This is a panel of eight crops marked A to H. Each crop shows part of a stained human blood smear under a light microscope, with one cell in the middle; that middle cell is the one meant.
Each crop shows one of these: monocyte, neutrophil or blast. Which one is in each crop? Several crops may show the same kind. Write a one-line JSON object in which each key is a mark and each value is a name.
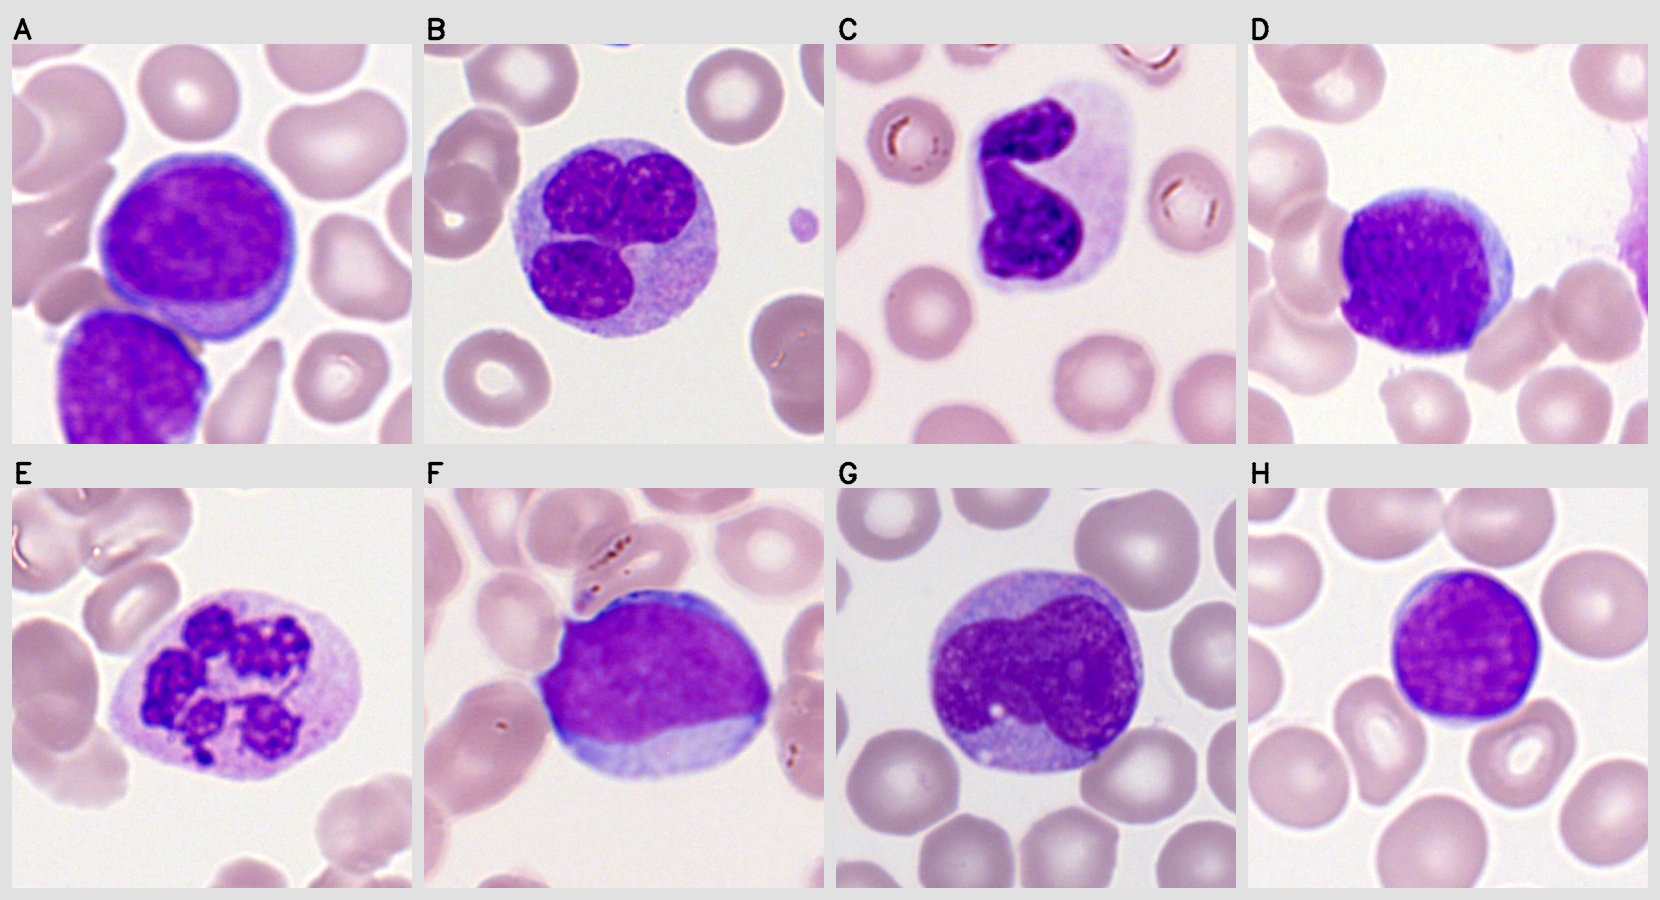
{"A": "blast", "B": "monocyte", "C": "neutrophil", "D": "blast", "E": "neutrophil", "F": "blast", "G": "monocyte", "H": "blast"}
